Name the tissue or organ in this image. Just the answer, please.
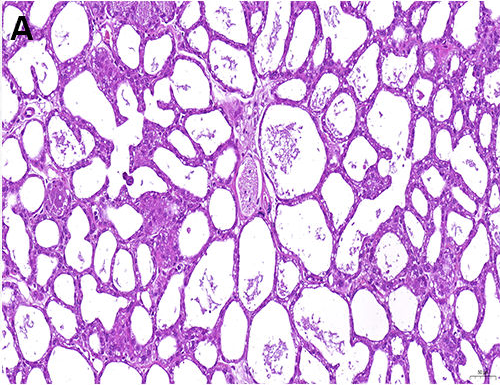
Mammary gland tissues.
